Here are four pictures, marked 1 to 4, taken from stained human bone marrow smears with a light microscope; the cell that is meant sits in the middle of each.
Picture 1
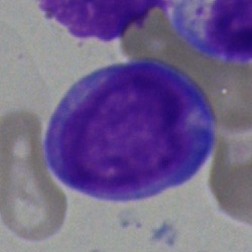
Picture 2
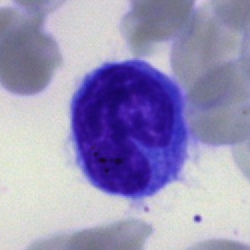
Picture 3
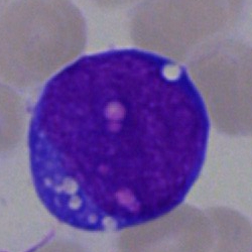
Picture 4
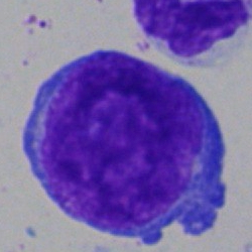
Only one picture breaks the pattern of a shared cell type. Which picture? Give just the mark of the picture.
2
